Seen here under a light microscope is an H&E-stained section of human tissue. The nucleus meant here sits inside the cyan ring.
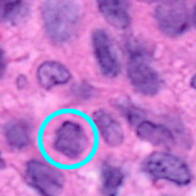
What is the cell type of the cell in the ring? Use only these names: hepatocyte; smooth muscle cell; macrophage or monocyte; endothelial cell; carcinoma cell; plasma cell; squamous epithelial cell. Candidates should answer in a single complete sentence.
What the cell in the ring represents is a carcinoma cell.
